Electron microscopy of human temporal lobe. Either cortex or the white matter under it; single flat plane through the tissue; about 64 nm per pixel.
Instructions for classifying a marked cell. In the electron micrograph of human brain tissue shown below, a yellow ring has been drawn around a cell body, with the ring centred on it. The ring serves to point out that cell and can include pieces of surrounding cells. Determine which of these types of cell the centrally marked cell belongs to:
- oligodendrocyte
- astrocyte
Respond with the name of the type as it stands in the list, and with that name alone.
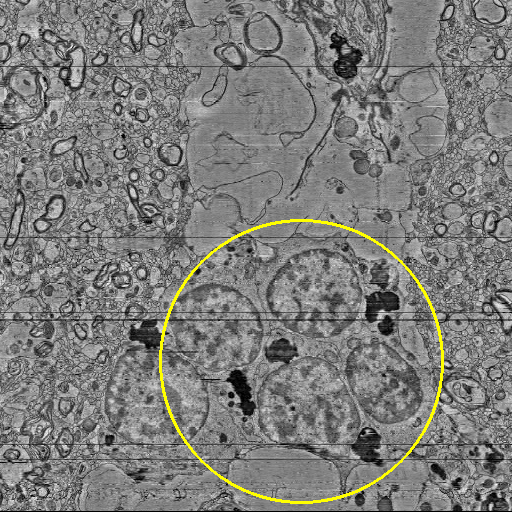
oligodendrocyte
